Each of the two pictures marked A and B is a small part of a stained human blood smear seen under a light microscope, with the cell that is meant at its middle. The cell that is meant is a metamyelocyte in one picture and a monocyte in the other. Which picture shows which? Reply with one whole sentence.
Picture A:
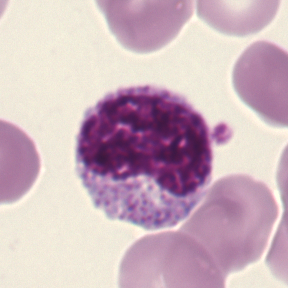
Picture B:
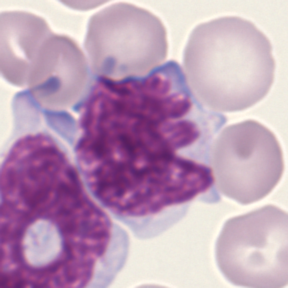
In picture A the cell is a metamyelocyte; in picture B, a monocyte.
